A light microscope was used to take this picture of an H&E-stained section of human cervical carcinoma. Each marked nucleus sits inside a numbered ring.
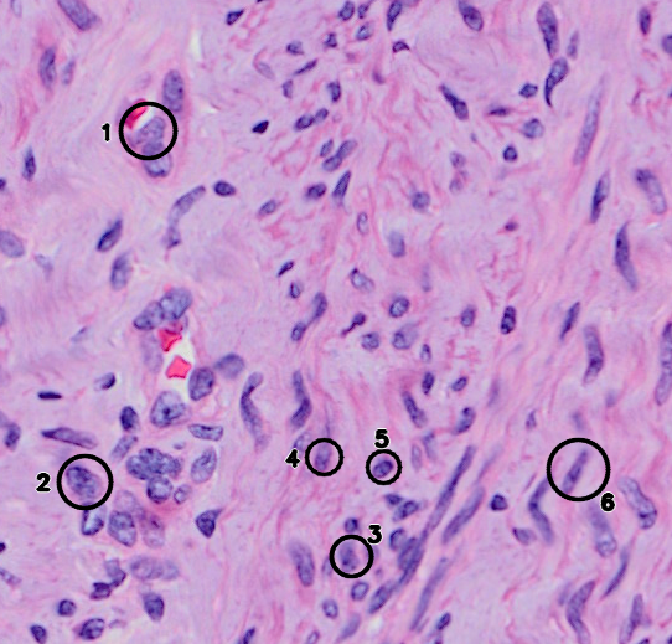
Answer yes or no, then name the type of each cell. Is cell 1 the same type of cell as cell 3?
No; whereas cell 1 is an endothelial cell, cell 3 is a smooth muscle cell.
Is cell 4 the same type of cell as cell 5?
Yes, cells 4 and 5 are alike in being smooth muscle cells.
